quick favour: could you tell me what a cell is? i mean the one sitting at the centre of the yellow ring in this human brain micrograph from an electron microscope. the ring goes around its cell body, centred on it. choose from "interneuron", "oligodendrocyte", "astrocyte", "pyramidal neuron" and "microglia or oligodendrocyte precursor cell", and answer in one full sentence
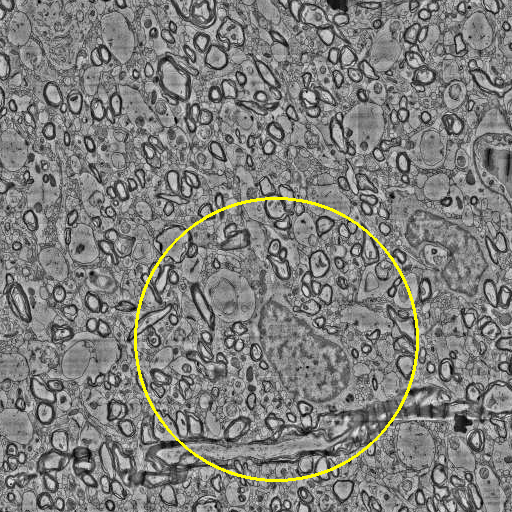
That's an oligodendrocyte, the cell sitting at the centre of the yellow ring.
